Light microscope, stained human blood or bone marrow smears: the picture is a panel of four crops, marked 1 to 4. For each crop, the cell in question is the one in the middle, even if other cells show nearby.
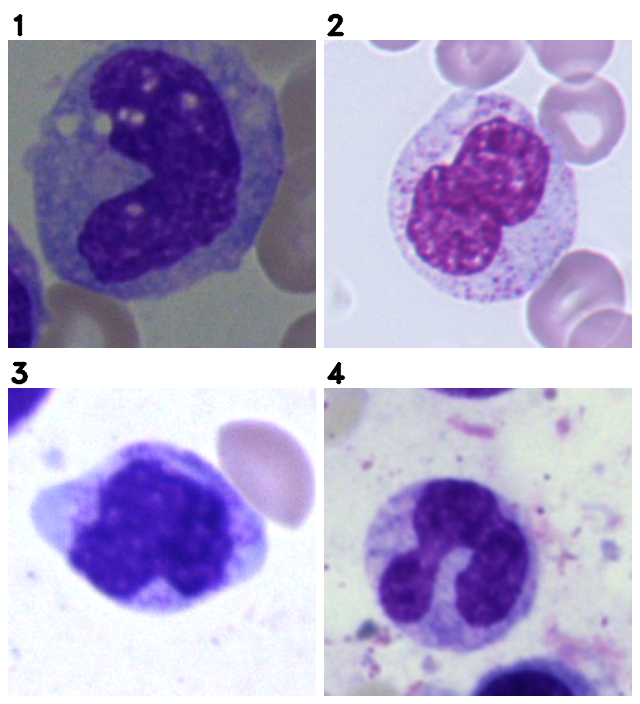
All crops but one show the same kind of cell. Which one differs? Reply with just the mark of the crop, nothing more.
2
